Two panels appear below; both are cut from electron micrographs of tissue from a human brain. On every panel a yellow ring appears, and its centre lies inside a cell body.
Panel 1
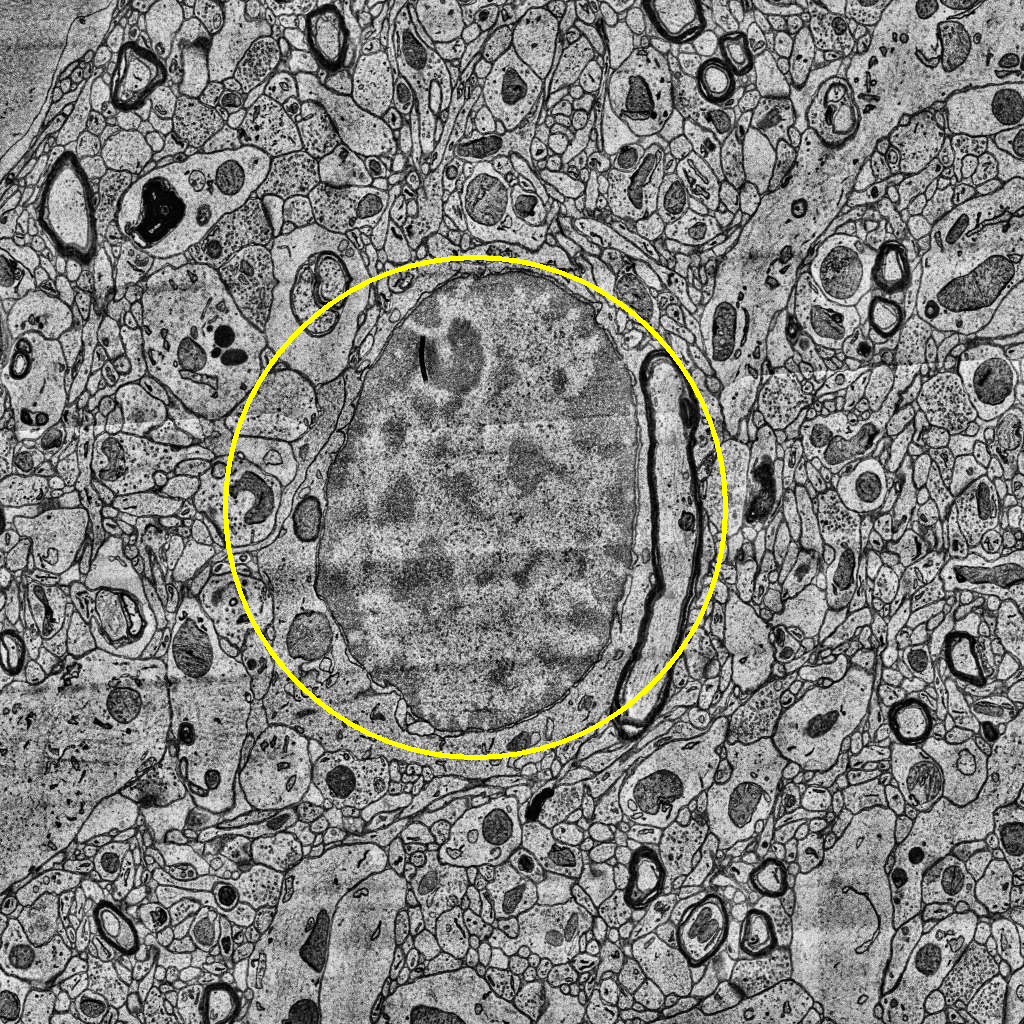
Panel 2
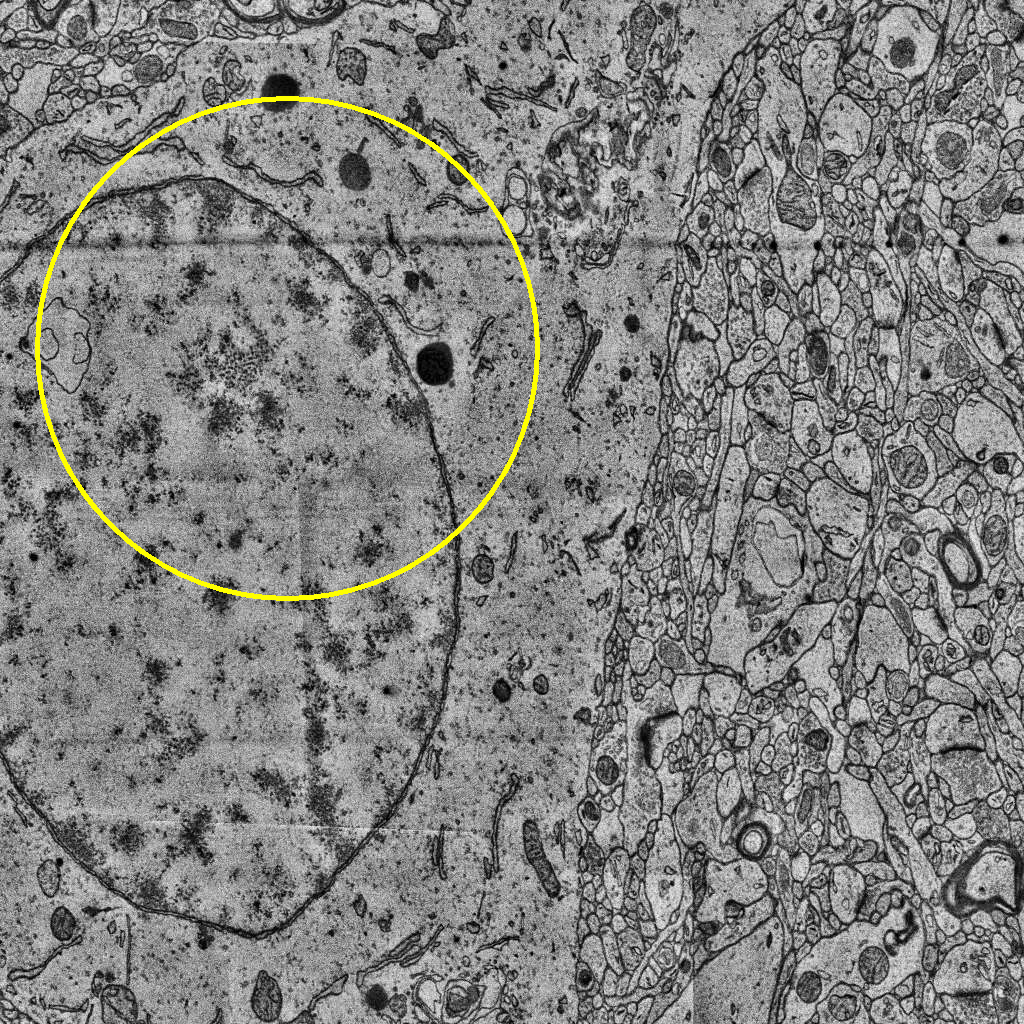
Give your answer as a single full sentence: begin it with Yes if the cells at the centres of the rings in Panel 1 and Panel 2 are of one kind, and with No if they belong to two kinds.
No, the cells at the middle of the rings in Panels 1 and 2 are of two kinds.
